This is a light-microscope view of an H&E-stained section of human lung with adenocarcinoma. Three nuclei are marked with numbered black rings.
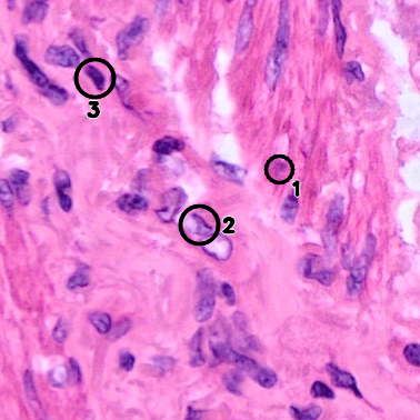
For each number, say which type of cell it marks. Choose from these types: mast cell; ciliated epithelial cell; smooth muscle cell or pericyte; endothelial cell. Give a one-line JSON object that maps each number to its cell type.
{"1": "smooth muscle cell or pericyte", "2": "endothelial cell", "3": "mast cell"}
